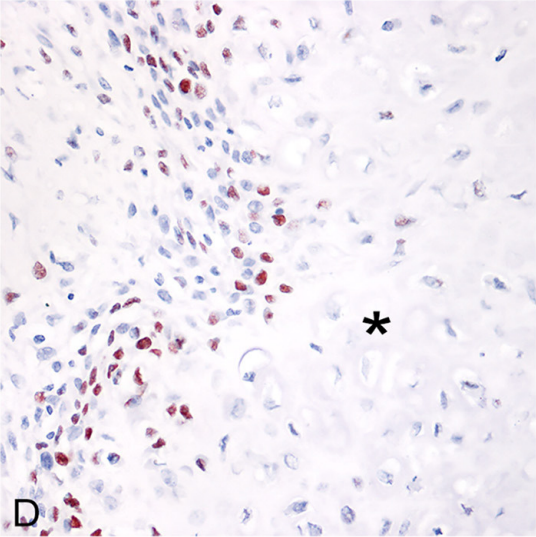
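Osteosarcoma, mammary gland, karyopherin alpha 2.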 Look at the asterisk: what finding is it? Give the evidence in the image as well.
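Around the asterisk, rounded cells are scattered in abundant pale matrix. Nuclei there are mostly blue. On this evidence: chondroblastic differentiation.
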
